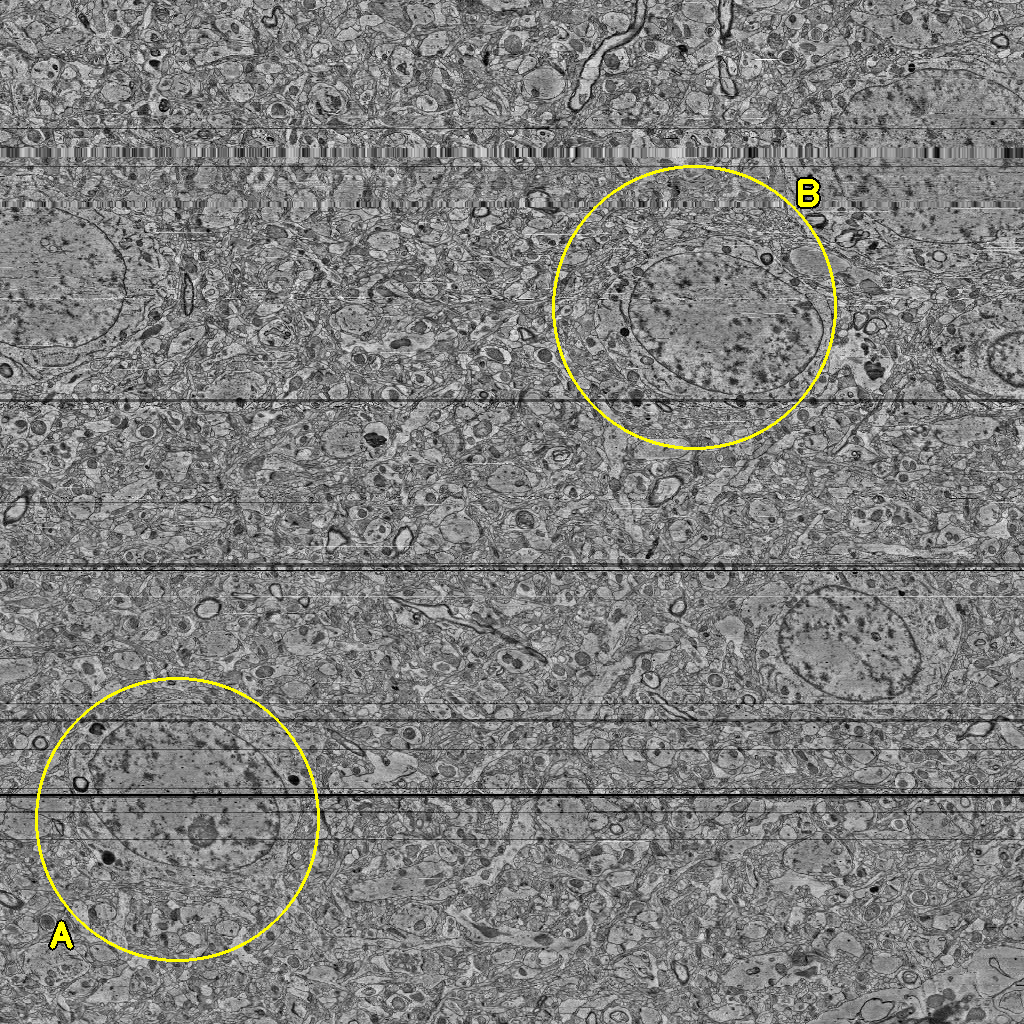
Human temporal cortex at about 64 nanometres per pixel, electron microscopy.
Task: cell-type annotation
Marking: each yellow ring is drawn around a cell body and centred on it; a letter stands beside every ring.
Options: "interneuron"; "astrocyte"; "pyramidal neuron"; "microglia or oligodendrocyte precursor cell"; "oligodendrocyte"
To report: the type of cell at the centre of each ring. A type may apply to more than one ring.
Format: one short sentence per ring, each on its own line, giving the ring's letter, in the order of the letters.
Ring A is centred on a pyramidal neuron.
Ring B is centred on a pyramidal neuron.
